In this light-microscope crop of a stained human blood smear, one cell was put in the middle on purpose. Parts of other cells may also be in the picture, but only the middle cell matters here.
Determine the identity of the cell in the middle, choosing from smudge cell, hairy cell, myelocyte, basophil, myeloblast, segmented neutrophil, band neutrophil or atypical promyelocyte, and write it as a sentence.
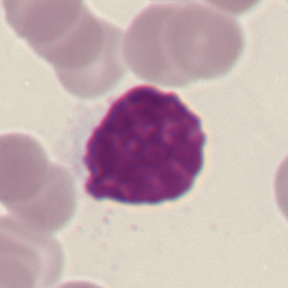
Centrally within this crop lies a smudge cell.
